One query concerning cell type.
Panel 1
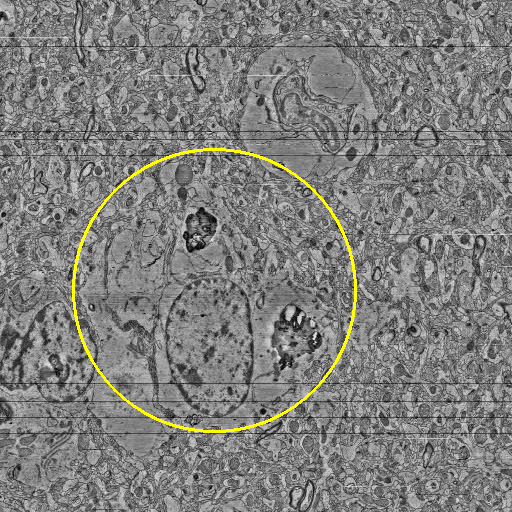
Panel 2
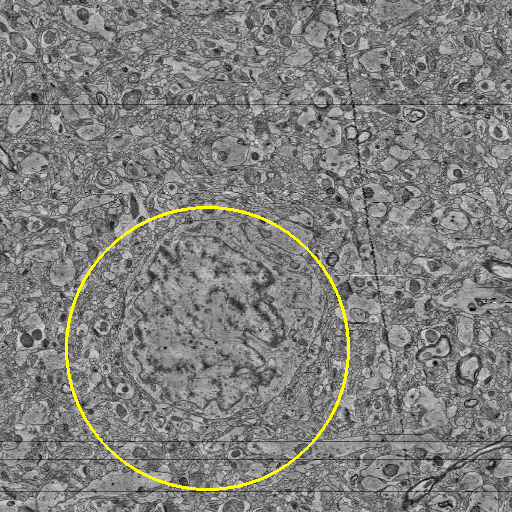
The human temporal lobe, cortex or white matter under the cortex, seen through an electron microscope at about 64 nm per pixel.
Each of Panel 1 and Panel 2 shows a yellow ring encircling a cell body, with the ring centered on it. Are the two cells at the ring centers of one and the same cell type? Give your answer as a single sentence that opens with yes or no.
No, the cell centered in Panel 1 and the one in Panel 2 are of two types.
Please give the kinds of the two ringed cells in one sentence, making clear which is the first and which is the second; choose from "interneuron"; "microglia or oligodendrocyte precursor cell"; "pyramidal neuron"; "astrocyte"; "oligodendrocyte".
In the second picture the ringed cell is an interneuron; in the first it is an astrocyte.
